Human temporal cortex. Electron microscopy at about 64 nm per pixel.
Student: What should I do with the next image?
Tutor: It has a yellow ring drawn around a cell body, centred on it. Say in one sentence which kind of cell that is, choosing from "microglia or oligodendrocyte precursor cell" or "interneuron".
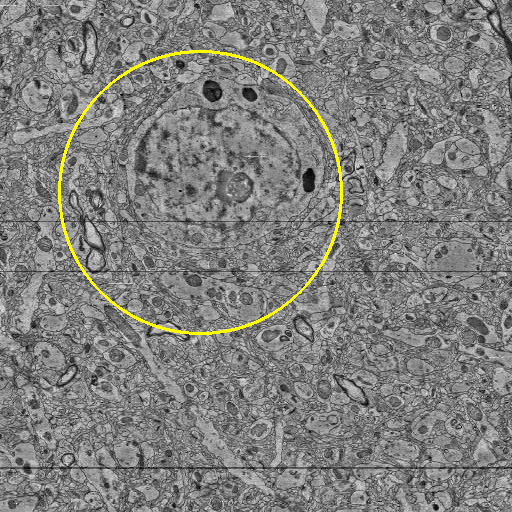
The ring's centre is occupied by an interneuron.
